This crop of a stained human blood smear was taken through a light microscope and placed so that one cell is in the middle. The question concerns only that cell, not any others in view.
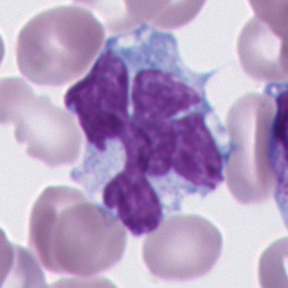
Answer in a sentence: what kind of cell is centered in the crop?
The cell featured at the centre of this crop is a monocyte.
